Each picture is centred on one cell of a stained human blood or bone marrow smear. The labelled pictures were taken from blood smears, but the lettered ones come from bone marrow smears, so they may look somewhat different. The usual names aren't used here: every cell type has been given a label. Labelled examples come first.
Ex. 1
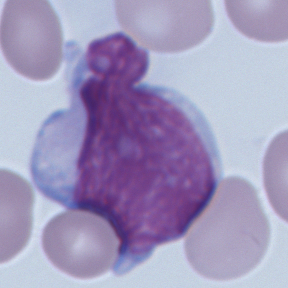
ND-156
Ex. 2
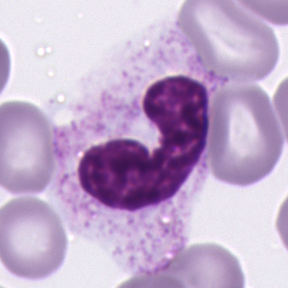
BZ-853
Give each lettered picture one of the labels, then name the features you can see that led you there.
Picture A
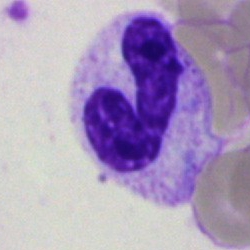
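BZ-853. The cytoplasm is plentiful around the nucleus.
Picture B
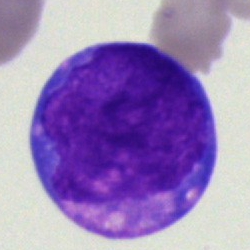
ND-156. The nucleus fills most of the cell.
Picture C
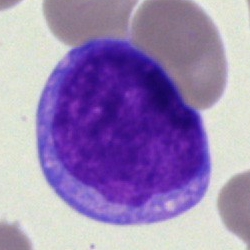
ND-156. The nucleus fills most of the cell, and the cytoplasm forms a rim that is widest along the bottom.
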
